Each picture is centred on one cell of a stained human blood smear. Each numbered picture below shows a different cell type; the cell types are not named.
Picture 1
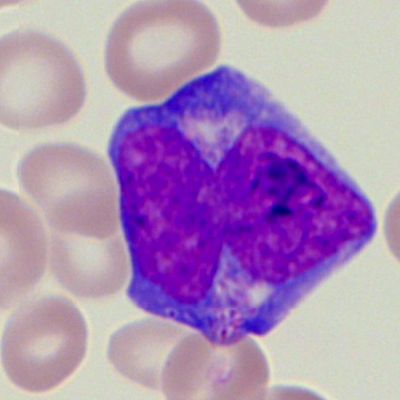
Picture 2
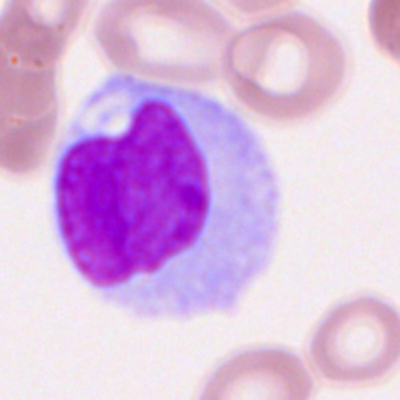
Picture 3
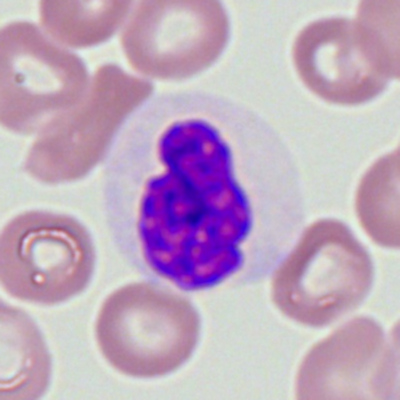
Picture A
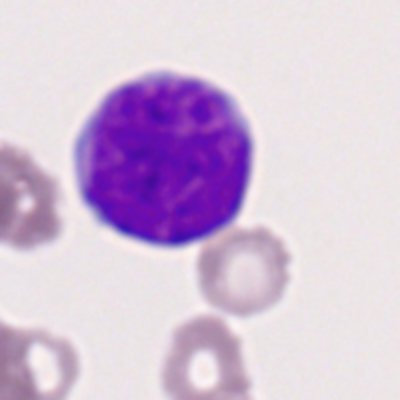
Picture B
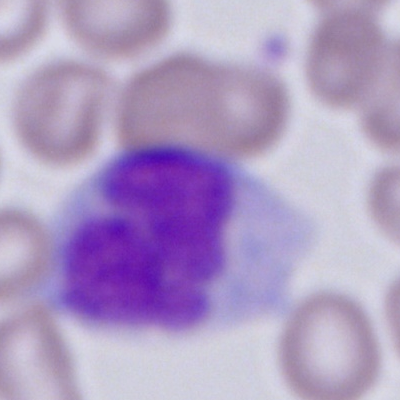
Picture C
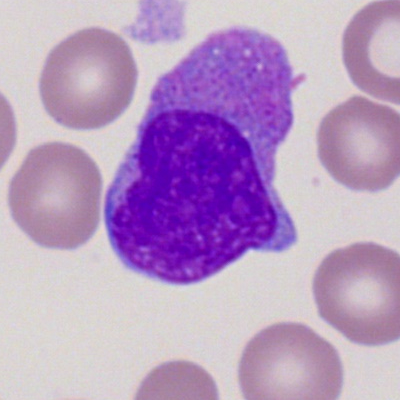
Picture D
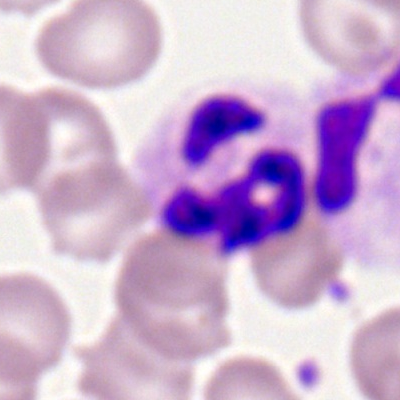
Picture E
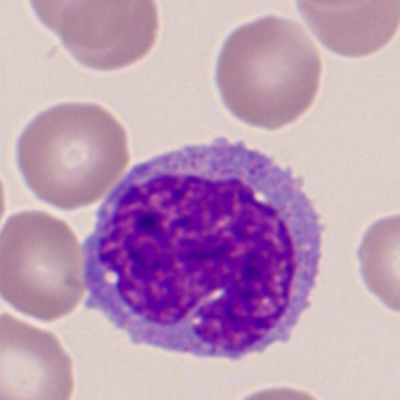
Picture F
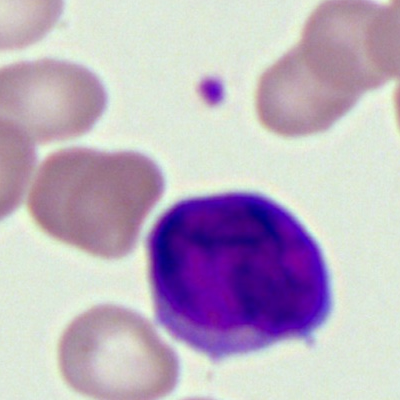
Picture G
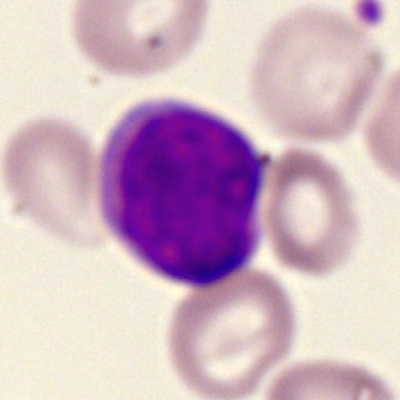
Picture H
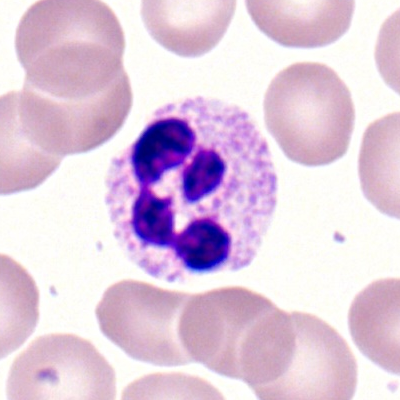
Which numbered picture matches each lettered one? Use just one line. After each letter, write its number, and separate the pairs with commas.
A 1, B 2, C 1, D 3, E 2, F 1, G 1, H 3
